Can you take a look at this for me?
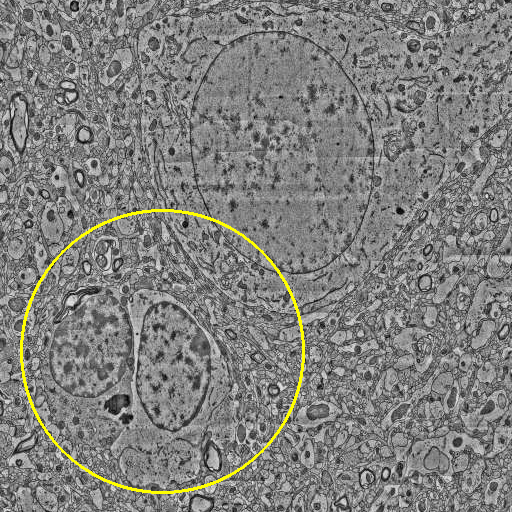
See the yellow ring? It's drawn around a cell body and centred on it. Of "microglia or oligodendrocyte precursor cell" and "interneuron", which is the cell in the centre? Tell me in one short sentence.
The one in the centre is a microglial cell or oligodendrocyte precursor cell.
